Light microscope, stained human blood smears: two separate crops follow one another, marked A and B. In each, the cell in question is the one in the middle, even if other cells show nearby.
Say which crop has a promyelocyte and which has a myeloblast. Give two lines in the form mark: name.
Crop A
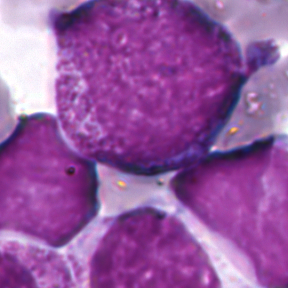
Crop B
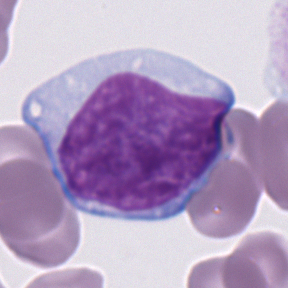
A: promyelocyte
B: myeloblast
